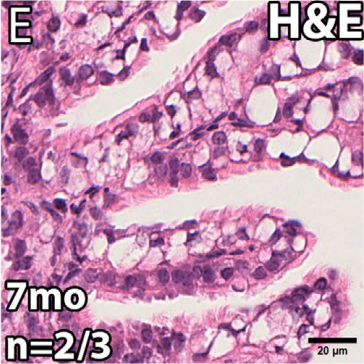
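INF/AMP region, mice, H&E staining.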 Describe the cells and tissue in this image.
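Simple epithelium covering mucosal folds of the oviduct, with pink cytoplasm and dark purple nuclei. Many epithelial cells contain large, clear, empty-looking cytoplasmic vacuoles, and their nuclei lie toward the apical surface rather than near the base.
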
